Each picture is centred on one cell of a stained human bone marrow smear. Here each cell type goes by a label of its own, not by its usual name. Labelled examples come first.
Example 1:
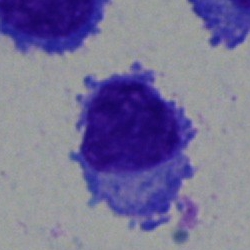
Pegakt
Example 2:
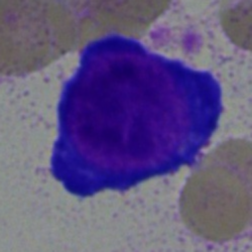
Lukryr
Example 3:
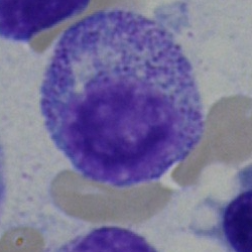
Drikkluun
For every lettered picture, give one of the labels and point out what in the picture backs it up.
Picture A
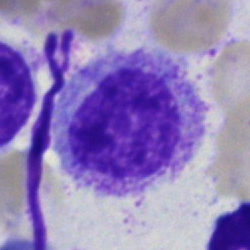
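Drikkluun. Evidence: Small purple granules are scattered through the cytoplasm and are thickest at the cell's edge.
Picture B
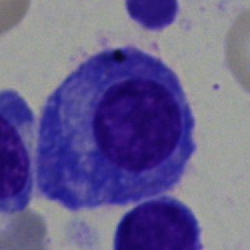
Pegakt. Evidence: The cytoplasm is abundant and stains deep blue.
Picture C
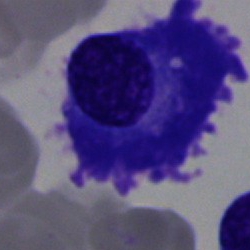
Pegakt. Evidence: The cytoplasm is plentiful and stains a deep blue.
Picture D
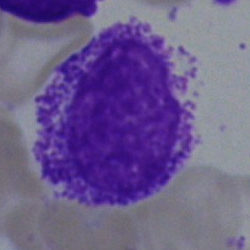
Drikkluun. Evidence: The cell is packed with coarse, dark purple granules.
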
